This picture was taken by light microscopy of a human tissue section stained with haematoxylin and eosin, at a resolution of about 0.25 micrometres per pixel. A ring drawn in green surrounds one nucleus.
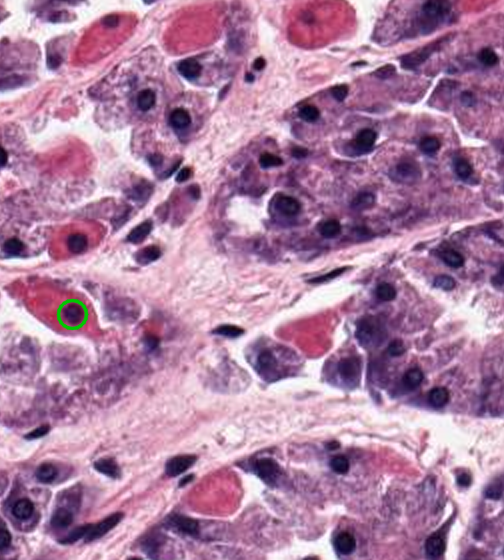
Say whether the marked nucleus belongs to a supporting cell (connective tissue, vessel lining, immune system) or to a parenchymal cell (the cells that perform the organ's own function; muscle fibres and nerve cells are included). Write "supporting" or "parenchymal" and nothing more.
parenchymal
